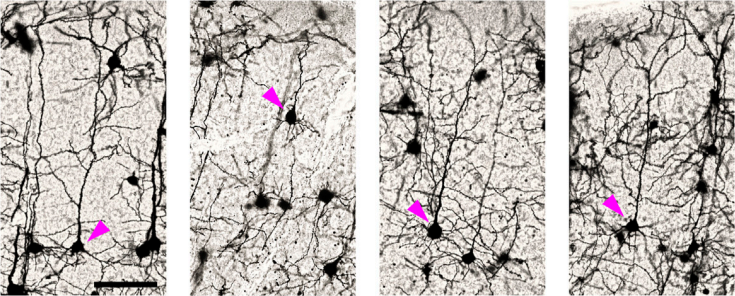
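These are Golgi-impregnated neurons of the cortex, shown as black silhouettes on a pale background. Many of them are pyramidal neurons, with triangular cell bodies. Around the stained neurons lies a tangle of fine black processes, while most of the surrounding tissue stays unstained.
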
